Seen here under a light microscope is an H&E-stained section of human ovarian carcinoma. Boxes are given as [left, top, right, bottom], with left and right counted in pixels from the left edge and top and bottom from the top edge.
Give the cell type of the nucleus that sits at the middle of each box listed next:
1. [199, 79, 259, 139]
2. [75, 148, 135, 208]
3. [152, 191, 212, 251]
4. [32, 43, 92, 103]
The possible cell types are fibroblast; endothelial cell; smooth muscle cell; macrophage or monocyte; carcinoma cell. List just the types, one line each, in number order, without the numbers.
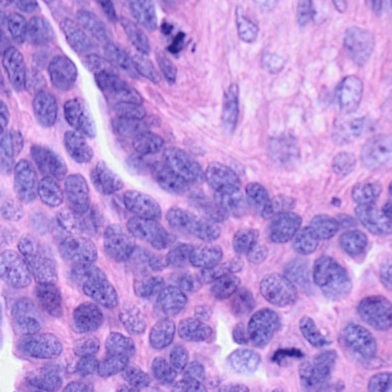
fibroblast
carcinoma cell
carcinoma cell
carcinoma cell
